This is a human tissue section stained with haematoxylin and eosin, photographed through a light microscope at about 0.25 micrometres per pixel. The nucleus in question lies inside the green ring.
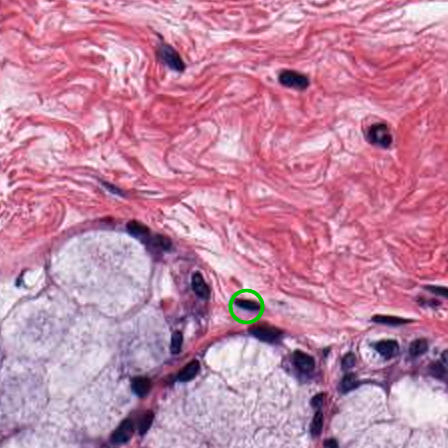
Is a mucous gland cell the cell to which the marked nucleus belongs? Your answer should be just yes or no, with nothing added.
no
